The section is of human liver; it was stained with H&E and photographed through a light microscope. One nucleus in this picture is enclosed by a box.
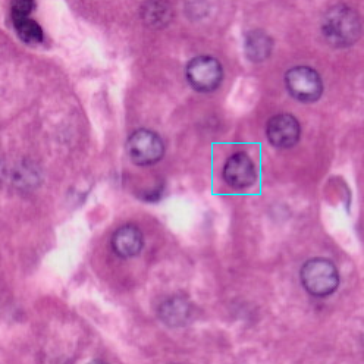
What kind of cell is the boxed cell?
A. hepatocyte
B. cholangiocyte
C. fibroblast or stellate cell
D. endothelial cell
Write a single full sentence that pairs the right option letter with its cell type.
The correct pick is option A; the boxed cell is a hepatocyte.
